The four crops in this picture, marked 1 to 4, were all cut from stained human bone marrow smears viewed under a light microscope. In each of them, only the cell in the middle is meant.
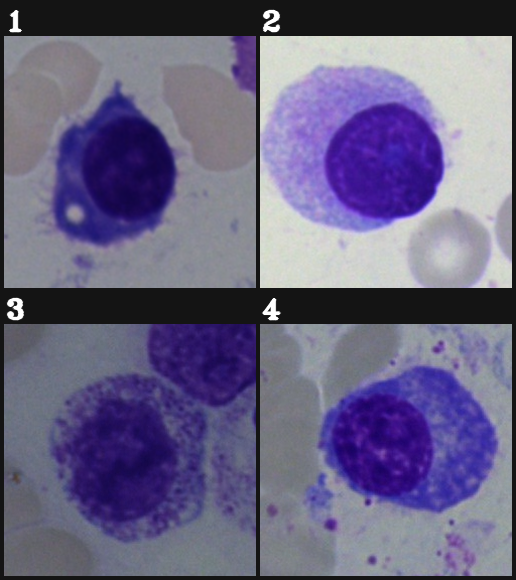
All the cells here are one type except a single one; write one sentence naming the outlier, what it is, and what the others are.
Differing from the rest, crop 3 shows a myelocyte; the others all show plasma cells.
